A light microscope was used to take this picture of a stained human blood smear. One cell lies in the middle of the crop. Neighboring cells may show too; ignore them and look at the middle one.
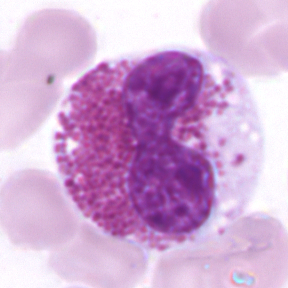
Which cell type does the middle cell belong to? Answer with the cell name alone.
eosinophil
